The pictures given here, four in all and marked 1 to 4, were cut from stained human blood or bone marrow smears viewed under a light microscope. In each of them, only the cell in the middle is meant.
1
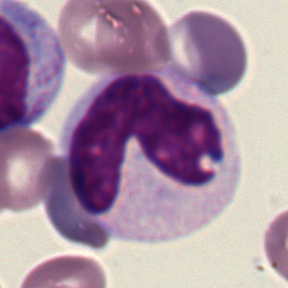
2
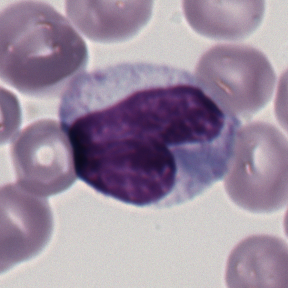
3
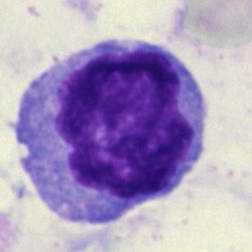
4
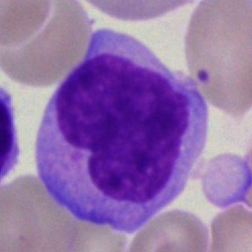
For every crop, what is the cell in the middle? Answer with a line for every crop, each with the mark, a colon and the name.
1: band neutrophil
2: band neutrophil
3: monocyte
4: monocyte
